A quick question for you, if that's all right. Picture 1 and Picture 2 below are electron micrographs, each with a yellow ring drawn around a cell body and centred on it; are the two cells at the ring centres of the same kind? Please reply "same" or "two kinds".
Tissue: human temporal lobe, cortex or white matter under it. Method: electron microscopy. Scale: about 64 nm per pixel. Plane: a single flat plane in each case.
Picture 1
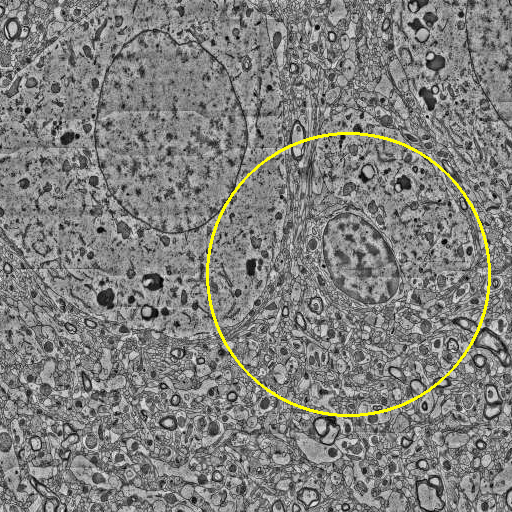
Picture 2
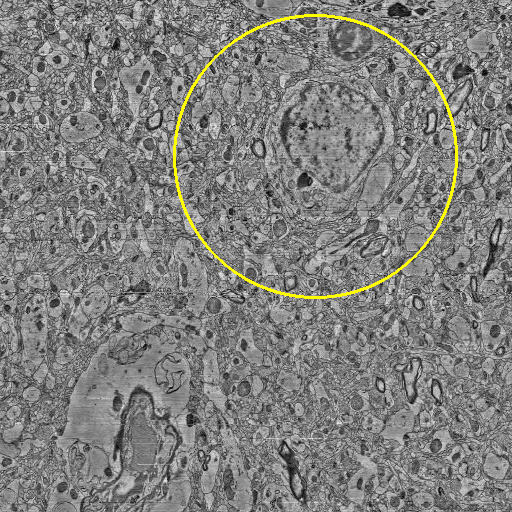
two kinds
